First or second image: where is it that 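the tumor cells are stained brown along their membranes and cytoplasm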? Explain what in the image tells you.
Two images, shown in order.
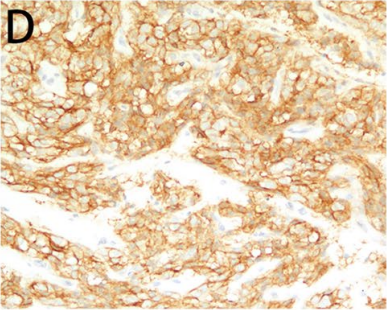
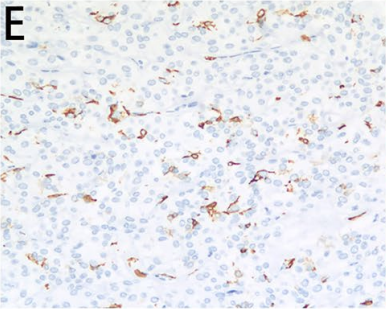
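The first image. Second image: tumor cells have blue nuclei and unstained cytoplasm; brown stain only in thin scattered elongated structures. First image: most tumor cells show brown membrane and cytoplasmic staining.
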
